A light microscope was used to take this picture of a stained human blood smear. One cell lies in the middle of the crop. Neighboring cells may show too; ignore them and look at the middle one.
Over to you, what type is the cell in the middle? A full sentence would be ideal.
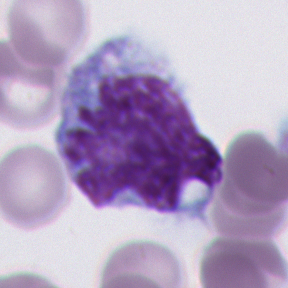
Regarding the central cell, it is a monocyte.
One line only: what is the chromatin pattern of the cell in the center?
The chromatin in this nucleus is coarsely clumped.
